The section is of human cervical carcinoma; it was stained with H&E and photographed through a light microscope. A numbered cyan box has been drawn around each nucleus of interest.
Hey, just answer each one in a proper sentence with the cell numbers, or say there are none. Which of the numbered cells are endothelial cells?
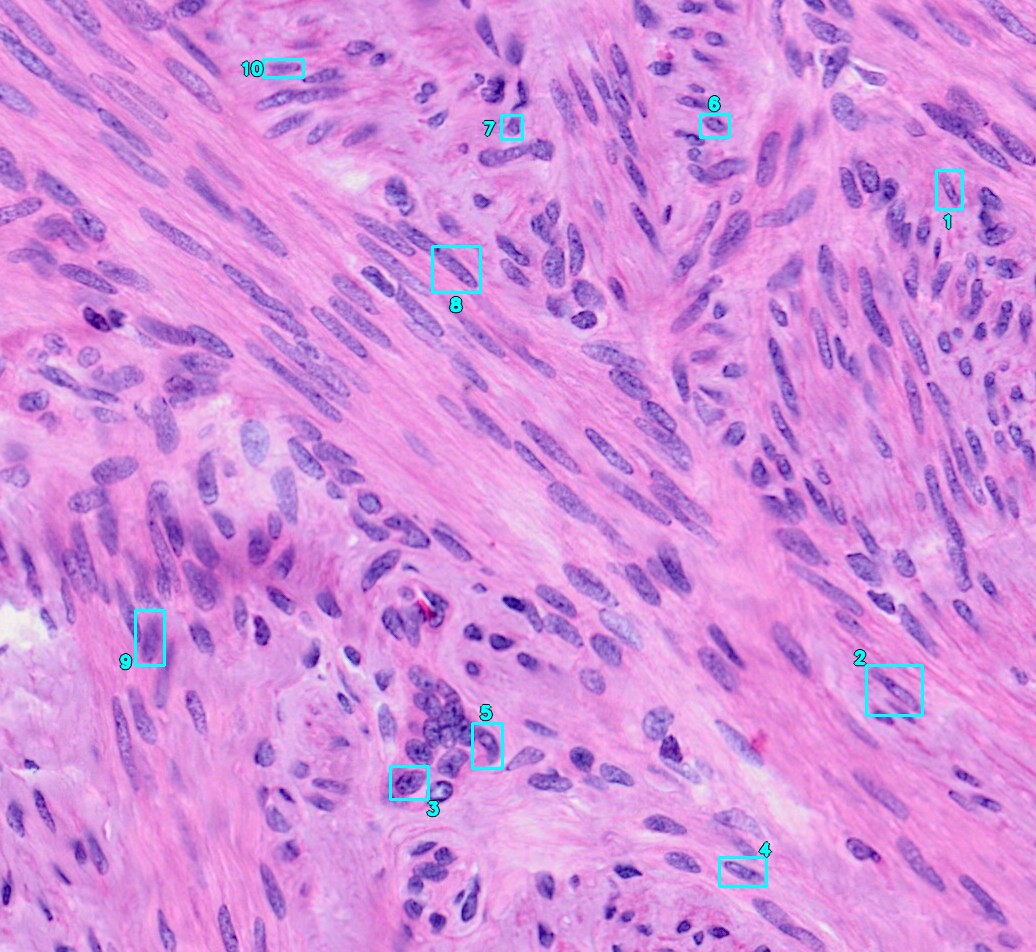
The cells that bear the numbers 3 and 5 are endothelial cells.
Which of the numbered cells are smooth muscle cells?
Cells 1, 2, 6, 7, 8 and 10 are of one type, namely smooth muscle cells.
